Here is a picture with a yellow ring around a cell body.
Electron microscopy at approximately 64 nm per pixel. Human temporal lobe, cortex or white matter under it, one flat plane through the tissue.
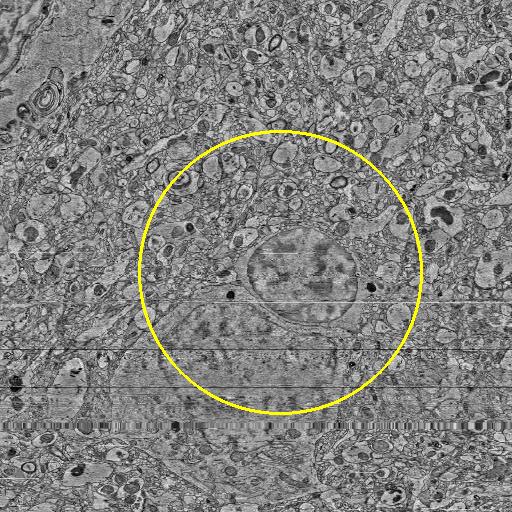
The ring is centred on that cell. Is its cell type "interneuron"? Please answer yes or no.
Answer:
no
